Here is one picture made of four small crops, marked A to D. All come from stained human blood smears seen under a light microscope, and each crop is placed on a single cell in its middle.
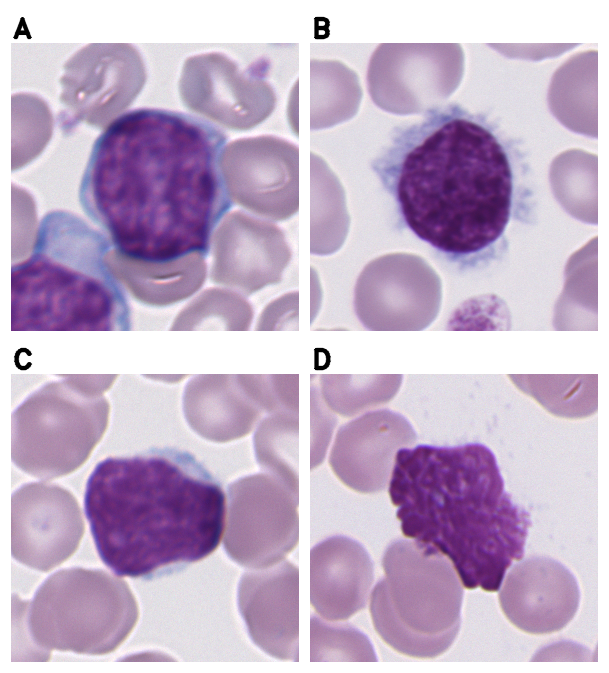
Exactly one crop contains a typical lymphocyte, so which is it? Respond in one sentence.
Crop C is the single crop that shows a typical lymphocyte.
